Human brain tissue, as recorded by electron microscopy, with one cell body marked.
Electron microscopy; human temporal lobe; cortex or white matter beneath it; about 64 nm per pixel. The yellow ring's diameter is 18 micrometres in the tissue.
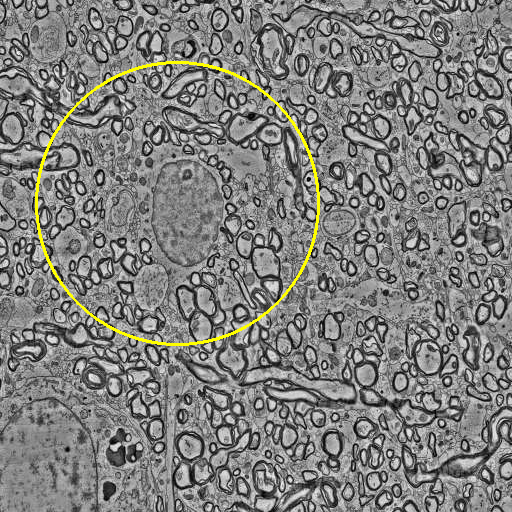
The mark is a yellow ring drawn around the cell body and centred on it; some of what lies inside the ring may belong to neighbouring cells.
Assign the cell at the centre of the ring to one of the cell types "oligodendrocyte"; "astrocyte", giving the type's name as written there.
oligodendrocyte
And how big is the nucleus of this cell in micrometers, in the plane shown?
In this plane, about 7 micrometres in length and 5 in width.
